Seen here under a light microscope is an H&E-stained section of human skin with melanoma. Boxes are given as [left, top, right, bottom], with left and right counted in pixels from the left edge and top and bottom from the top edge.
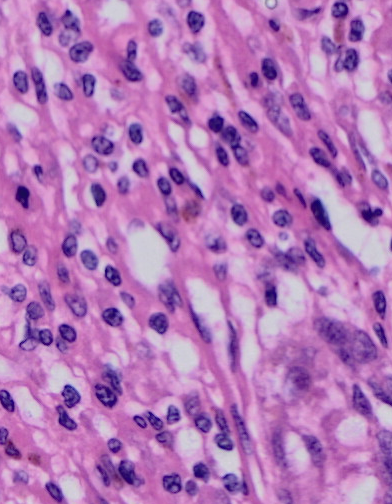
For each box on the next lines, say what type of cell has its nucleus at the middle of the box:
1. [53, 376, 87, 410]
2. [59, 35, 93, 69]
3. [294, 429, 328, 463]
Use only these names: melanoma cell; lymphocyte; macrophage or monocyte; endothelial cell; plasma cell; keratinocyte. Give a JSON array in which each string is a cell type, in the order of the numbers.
["lymphocyte", "lymphocyte", "melanoma cell"]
